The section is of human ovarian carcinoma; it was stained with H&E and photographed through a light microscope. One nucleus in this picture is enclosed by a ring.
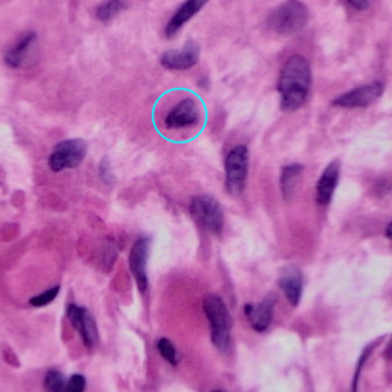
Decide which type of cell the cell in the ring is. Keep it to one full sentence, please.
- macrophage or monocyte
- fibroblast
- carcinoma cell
The classification of the cell in the ring is as a fibroblast.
